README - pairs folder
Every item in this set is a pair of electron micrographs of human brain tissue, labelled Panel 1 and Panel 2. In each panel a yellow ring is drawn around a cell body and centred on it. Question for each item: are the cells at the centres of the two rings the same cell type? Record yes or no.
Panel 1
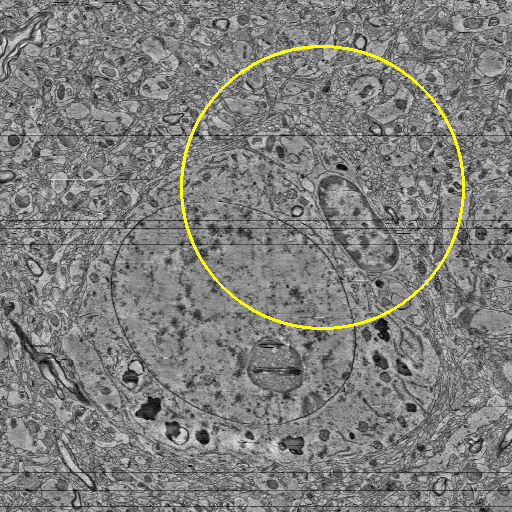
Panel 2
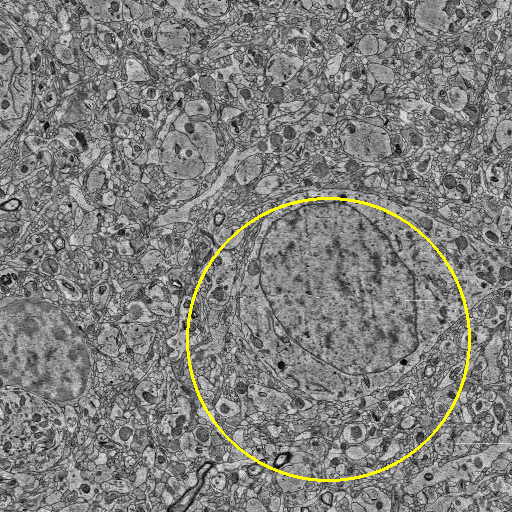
no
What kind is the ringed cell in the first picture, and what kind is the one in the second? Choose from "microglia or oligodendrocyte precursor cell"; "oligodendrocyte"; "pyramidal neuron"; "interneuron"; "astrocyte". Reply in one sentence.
The first cell is a microglial cell or oligodendrocyte precursor cell; the second is a pyramidal neuron.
